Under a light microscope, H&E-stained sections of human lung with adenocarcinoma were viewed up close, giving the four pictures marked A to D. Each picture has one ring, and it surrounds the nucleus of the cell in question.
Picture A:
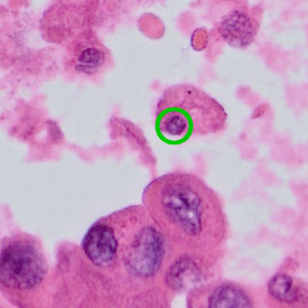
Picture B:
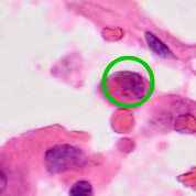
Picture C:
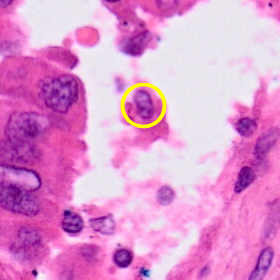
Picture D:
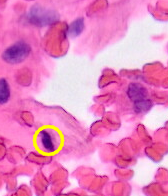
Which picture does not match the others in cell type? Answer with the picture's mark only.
D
